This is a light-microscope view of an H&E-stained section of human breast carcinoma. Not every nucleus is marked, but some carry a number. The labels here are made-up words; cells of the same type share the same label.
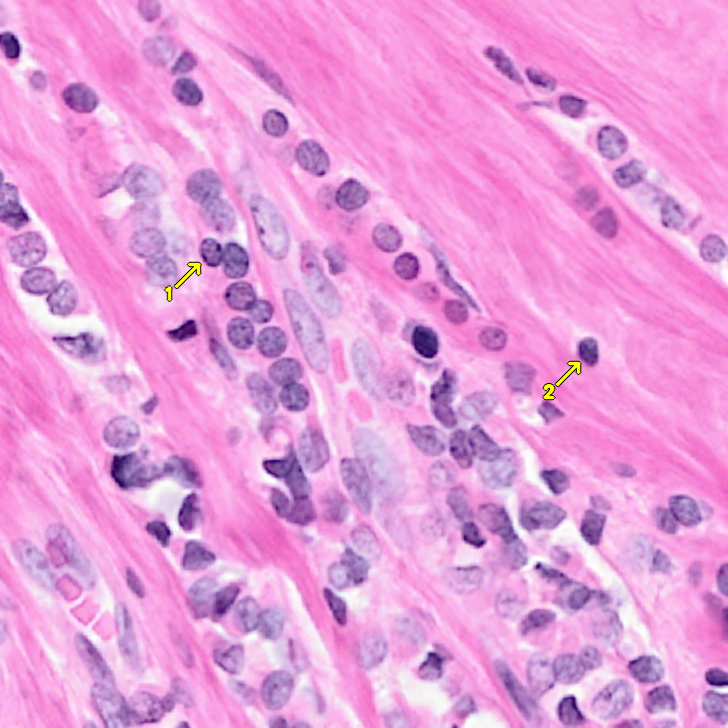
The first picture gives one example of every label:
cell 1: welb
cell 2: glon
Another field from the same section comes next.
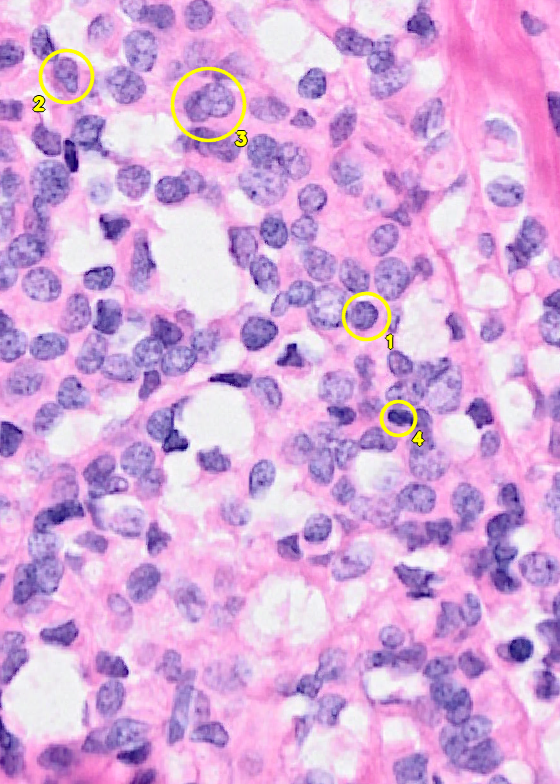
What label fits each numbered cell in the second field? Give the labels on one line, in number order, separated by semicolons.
welb; welb; welb; glon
